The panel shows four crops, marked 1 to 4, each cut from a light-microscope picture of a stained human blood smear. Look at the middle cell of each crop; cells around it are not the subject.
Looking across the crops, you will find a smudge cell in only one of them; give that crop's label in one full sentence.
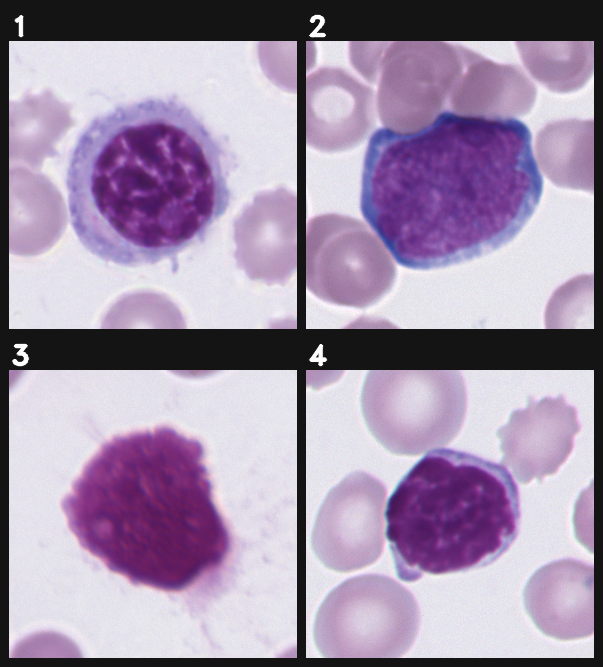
Crop 3, and no other, is the one that shows a smudge cell.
